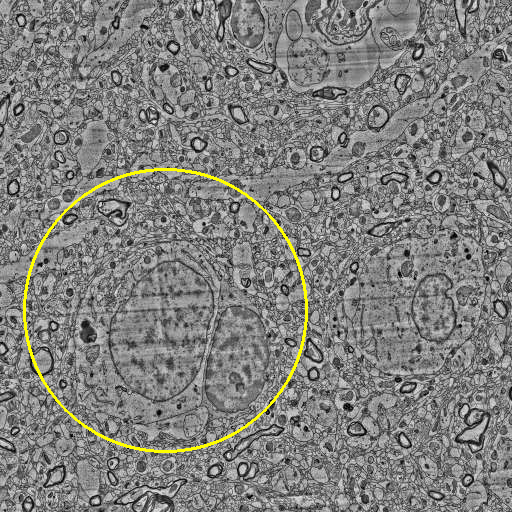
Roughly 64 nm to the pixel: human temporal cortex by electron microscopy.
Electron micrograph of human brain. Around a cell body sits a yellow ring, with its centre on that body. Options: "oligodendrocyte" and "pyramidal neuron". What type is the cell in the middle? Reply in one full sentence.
The cell sitting at the centre of the yellow ring is a pyramidal neuron.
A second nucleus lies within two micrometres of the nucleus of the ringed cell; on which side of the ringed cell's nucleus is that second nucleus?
That other nucleus appears to the right of it.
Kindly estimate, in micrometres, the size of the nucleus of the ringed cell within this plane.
Roughly 9 by 7 micrometres in this plane, for the nucleus of the ringed cell.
